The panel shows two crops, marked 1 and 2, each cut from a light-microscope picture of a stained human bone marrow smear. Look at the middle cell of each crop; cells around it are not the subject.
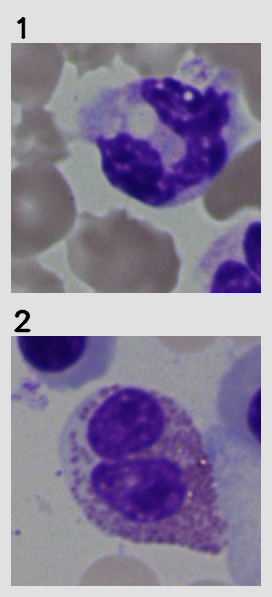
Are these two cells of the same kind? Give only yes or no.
no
